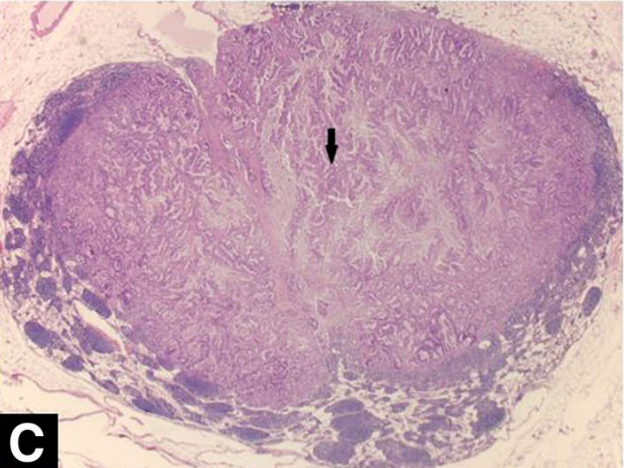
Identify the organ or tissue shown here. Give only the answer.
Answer: lymph node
